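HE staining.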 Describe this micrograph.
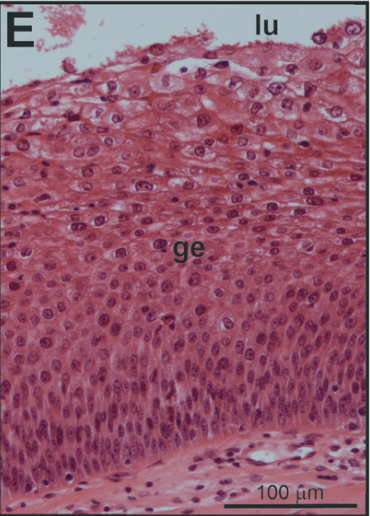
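A thick stratified glandular epithelium stained pink and purple rests on a thin band of connective tissue at the bottom and faces an open lumen at the top. The basal cells are small, tightly packed and columnar, with dark, crowded nuclei. Moving toward the lumen the cells become larger and polygonal, with more abundant pink cytoplasm and rounder, paler nuclei, many with a visible nucleolus. In the upper layers the cells are loosely arranged with clear spaces between them, and at the luminal surface cells and debris appear to be detaching. Below the epithelium the connective tissue holds scattered elongated nuclei.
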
